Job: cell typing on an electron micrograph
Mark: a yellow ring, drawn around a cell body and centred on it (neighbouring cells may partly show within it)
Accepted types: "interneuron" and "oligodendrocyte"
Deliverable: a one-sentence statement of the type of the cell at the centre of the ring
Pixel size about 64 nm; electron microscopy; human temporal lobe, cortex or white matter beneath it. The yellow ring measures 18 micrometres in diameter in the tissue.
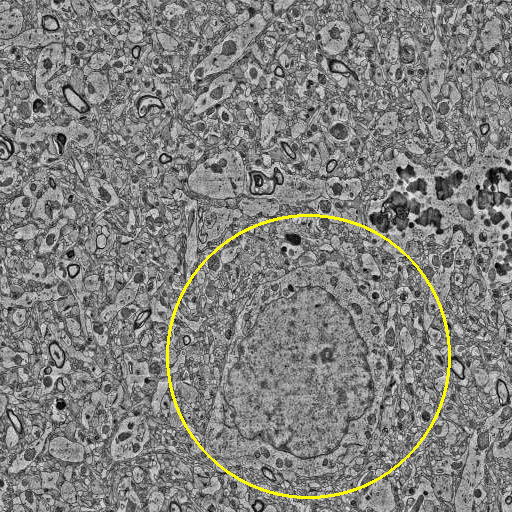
The centred cell body is that of an interneuron.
